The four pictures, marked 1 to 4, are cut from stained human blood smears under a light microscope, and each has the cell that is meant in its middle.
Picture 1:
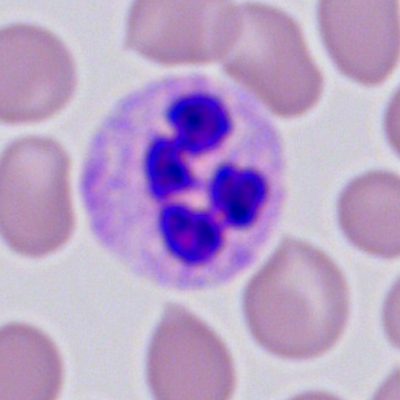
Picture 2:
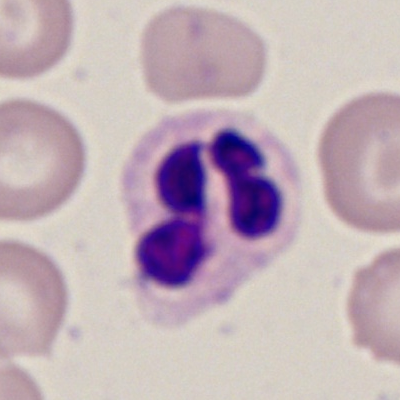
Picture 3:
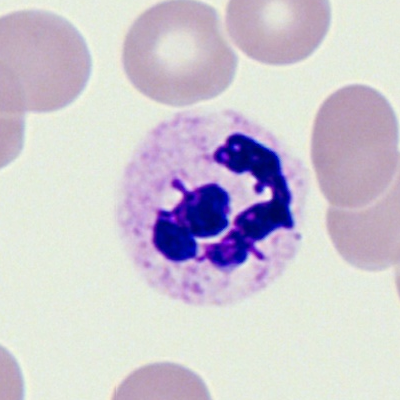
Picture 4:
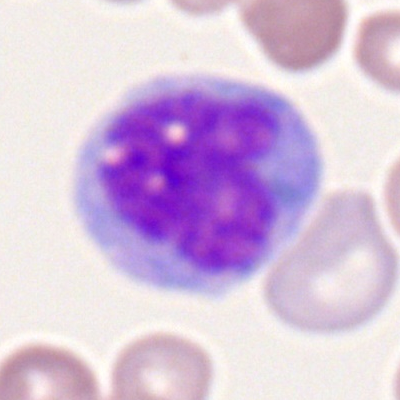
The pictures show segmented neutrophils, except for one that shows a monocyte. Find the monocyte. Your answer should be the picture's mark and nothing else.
4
